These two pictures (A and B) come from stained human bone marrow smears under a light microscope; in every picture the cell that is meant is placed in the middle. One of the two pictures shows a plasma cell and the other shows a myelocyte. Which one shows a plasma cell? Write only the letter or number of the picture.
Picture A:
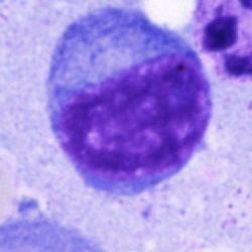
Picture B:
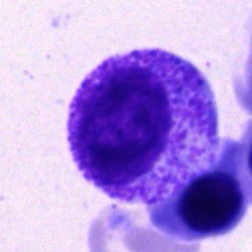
A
